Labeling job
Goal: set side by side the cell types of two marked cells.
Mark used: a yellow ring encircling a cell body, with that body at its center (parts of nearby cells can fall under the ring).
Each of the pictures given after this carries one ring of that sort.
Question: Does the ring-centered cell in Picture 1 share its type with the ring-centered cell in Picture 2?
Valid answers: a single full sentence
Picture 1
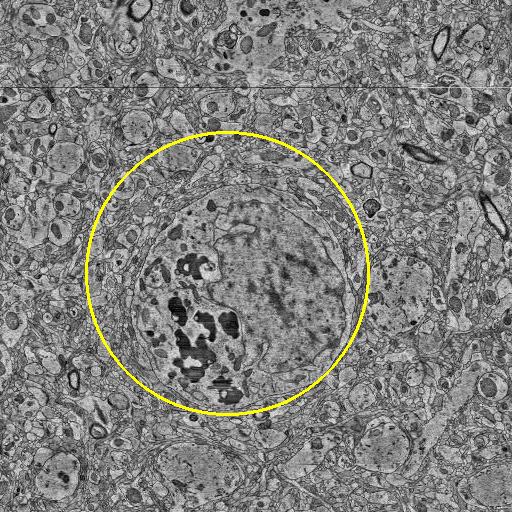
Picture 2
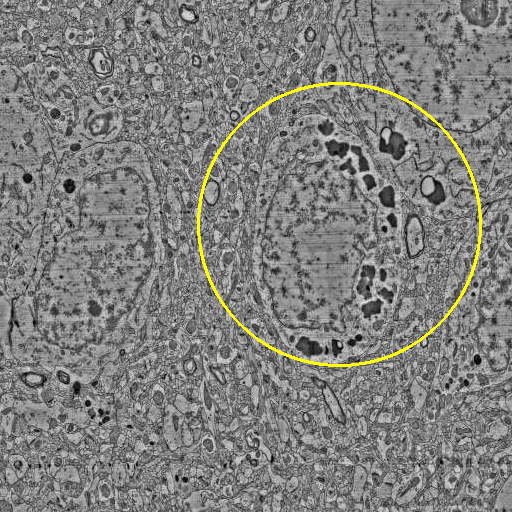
Yes, in Pictures 1 and 2 the cells at the ring centers share one type.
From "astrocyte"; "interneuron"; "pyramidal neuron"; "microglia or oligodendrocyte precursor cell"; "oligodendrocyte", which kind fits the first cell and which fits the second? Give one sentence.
Each of the two pictures has an interneuron at the ring centre.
